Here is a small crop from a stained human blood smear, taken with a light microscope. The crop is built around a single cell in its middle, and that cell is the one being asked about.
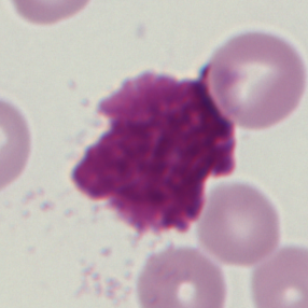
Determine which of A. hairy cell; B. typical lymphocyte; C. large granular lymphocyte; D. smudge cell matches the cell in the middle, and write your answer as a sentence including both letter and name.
According to option D, which is correct, the cell in the middle is a smudge cell.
